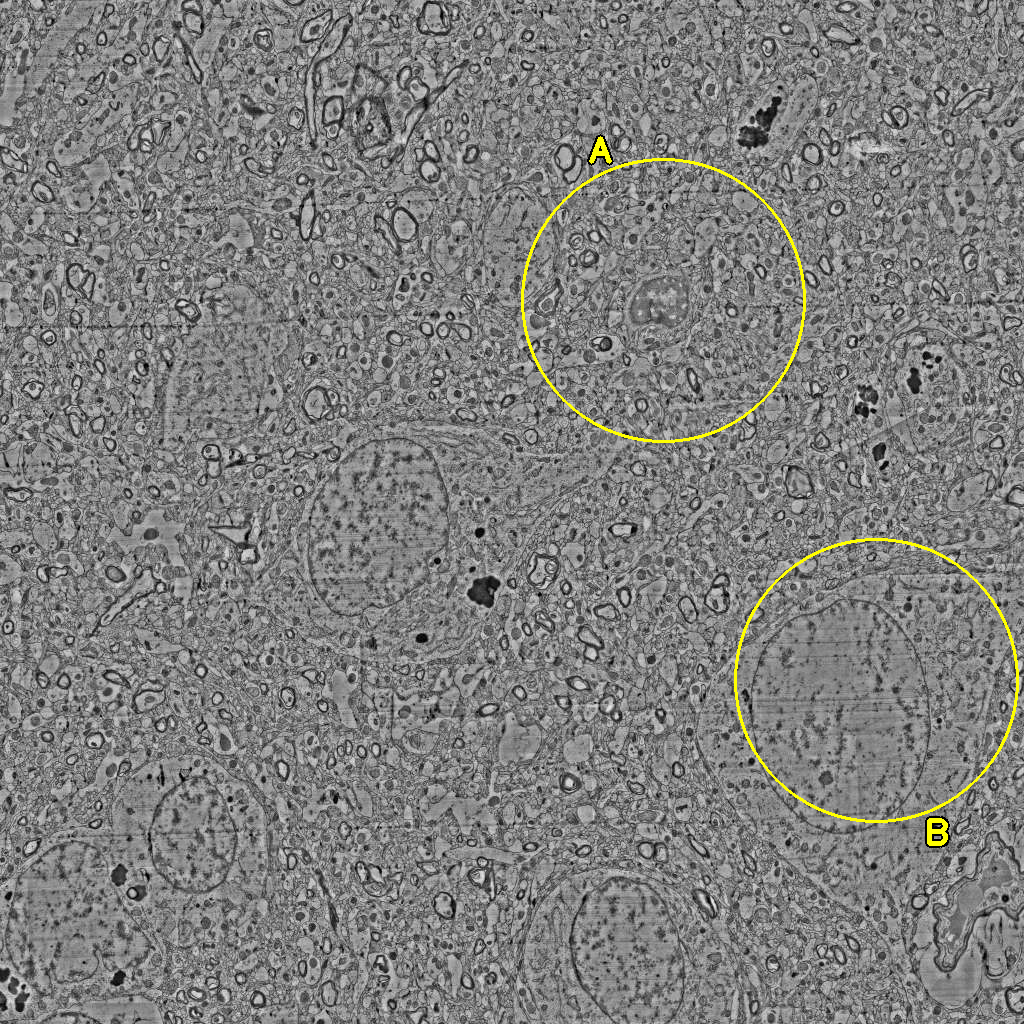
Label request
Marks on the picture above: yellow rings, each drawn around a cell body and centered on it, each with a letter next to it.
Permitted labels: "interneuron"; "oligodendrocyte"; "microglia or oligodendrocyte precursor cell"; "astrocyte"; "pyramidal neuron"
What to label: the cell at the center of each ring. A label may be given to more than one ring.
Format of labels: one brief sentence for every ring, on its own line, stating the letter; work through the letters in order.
The cell at the center of ring A is an oligodendrocyte.
The cell at the center of ring B is a pyramidal neuron.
